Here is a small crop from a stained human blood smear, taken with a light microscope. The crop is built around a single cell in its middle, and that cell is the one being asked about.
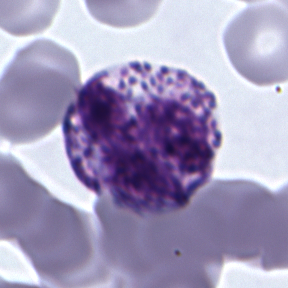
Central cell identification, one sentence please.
The crop's centre is taken up by a basophil.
